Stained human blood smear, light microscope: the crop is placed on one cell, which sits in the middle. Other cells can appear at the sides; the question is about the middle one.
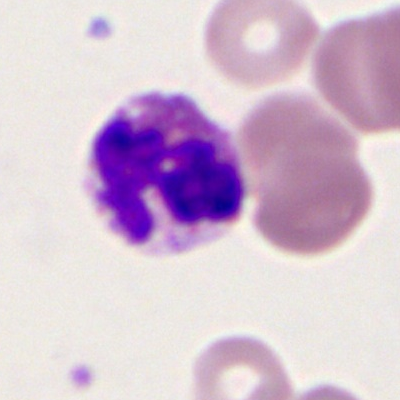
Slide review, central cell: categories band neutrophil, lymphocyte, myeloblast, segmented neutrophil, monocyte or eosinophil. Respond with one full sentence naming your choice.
The middle position in this crop is taken by an eosinophil.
